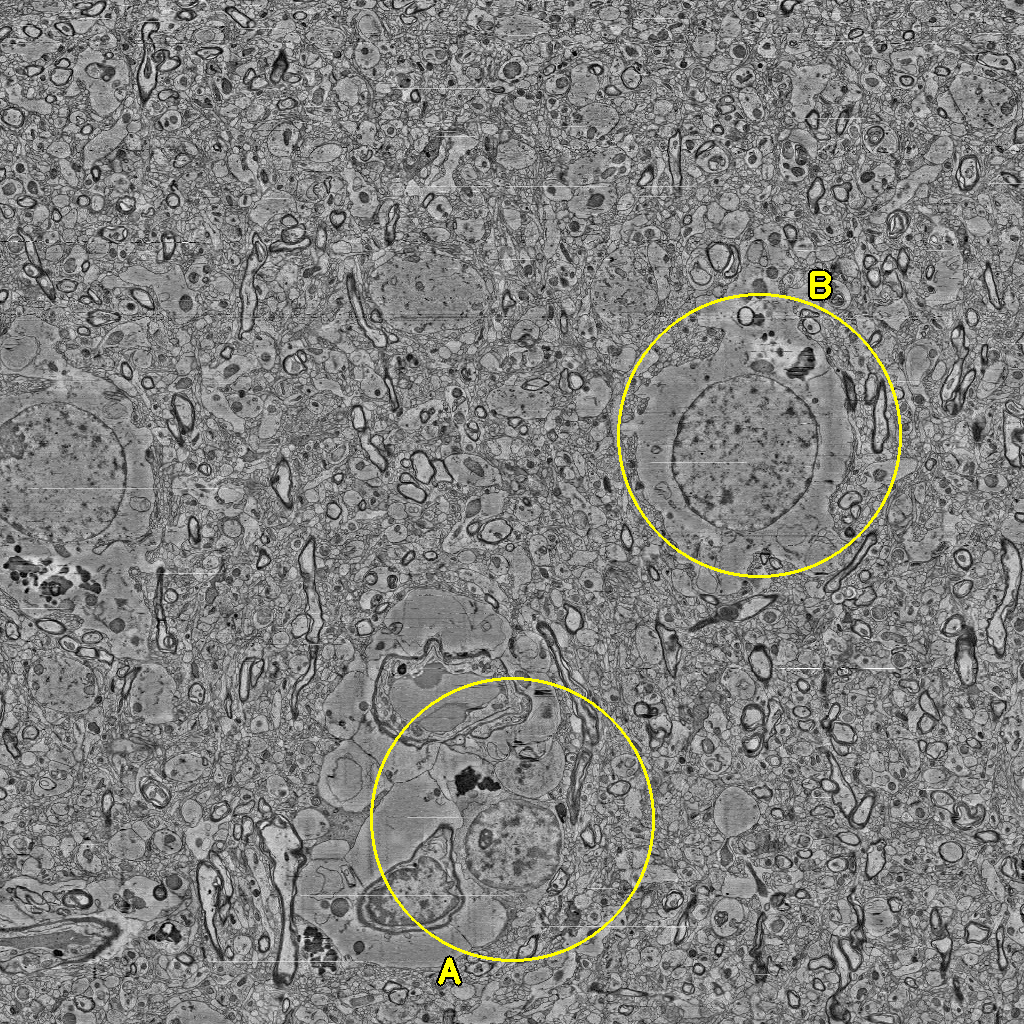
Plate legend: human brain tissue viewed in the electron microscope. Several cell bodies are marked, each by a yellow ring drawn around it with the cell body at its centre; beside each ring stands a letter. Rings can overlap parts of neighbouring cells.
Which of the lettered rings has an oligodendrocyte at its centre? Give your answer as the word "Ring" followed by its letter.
Ring A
